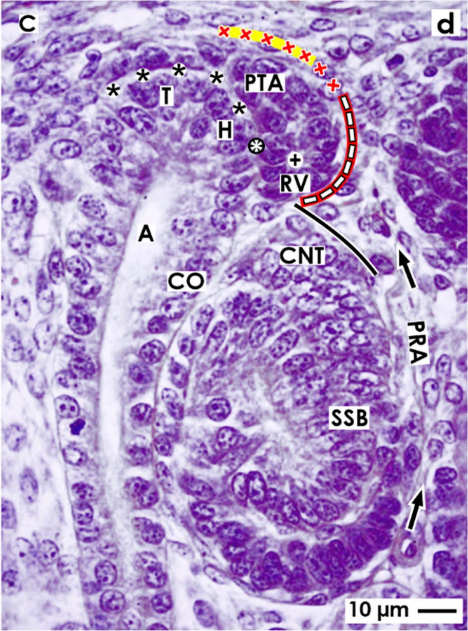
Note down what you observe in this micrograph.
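The aggregate cells have large, densely stained purple nuclei and little cytoplasm, while the ampulla on the left is an elongated tube lined by a single layer of epithelial cells. Beneath the vesicle lies a large S-shaped body made of tightly packed epithelial cells, and a thin-walled vessel runs upward along the right side. A thin fibrous capsule with flattened cells covers the top of the field.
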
